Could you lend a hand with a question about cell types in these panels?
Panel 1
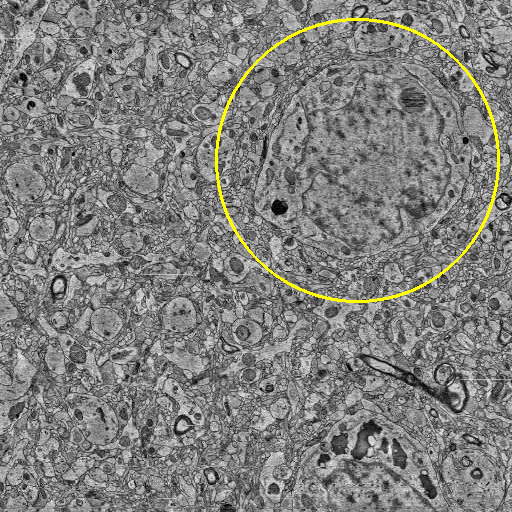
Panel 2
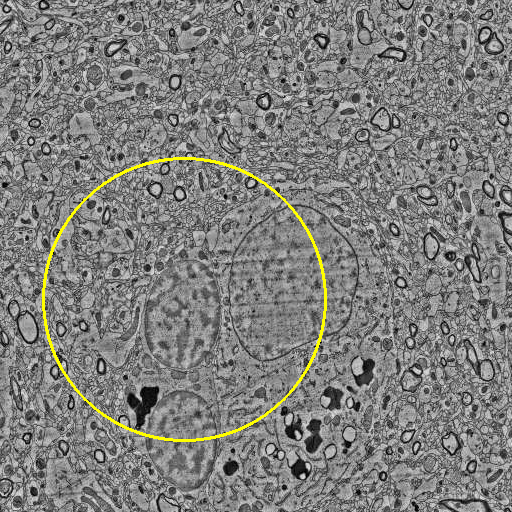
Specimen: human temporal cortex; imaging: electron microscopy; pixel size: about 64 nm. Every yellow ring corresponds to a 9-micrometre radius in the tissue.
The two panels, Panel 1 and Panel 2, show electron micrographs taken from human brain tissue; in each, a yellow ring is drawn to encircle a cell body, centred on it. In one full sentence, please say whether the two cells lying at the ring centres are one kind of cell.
No, the cells at the ring centres in the two panels are two kinds of cell.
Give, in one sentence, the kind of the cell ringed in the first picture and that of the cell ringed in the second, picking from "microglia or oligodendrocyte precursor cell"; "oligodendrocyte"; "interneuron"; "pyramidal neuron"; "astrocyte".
For the first picture it is an interneuron; for the second, an oligodendrocyte.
